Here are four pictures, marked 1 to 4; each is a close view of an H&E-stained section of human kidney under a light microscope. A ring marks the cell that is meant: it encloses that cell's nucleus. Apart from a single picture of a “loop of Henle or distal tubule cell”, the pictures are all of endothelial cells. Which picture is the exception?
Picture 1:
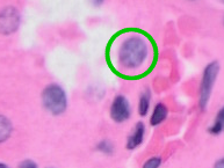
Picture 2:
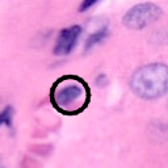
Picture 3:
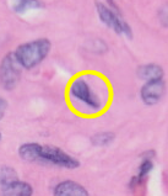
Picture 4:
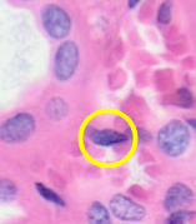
1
